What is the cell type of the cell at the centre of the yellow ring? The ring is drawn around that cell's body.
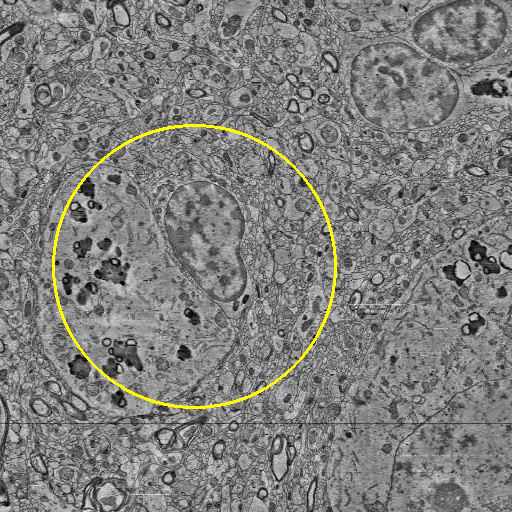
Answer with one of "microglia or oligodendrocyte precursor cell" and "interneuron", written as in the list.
microglia or oligodendrocyte precursor cell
